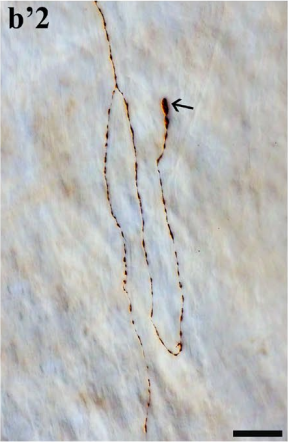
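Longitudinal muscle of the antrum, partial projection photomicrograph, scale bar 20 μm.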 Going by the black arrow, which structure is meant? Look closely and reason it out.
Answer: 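Hooked ending with enlarged terminal varicosity. The arrow points to a dark, swollen, club-like end of a brown fibre.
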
